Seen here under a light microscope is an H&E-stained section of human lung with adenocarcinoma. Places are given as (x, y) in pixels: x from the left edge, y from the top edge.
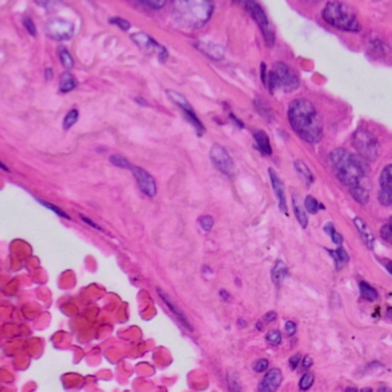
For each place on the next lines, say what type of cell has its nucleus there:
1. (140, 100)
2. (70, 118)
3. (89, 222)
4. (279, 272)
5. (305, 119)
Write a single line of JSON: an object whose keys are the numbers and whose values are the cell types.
{"1": "smooth muscle cell or pericyte", "2": "smooth muscle cell or pericyte", "3": "smooth muscle cell or pericyte", "4": "fibroblast", "5": "carcinoma cell"}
